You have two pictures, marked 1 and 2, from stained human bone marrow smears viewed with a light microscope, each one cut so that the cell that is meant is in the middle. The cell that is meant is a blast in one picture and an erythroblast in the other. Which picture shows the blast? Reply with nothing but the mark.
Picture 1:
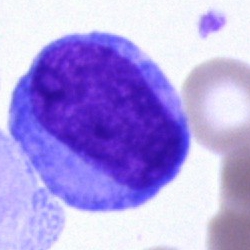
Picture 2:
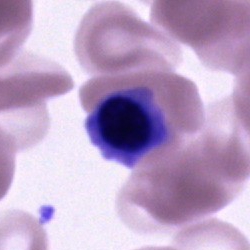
1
